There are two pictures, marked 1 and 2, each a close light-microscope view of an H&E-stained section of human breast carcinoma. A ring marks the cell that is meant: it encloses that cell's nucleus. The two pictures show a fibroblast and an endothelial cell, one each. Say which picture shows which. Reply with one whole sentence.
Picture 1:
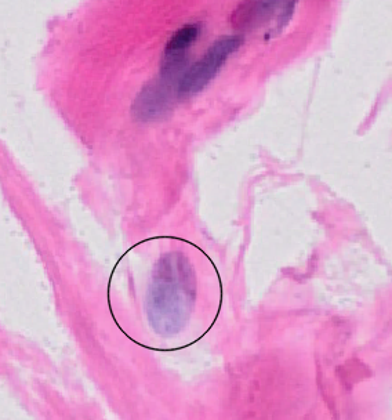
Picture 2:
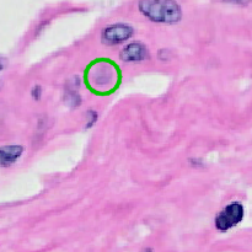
The cell in picture 1 is a fibroblast, and the one in picture 2 is an endothelial cell.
